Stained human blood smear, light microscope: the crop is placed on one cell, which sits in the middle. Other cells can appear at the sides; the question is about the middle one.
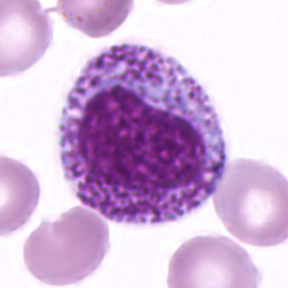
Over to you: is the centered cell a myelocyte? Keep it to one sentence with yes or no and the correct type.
Yes, the middle cell of the field is a myelocyte.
